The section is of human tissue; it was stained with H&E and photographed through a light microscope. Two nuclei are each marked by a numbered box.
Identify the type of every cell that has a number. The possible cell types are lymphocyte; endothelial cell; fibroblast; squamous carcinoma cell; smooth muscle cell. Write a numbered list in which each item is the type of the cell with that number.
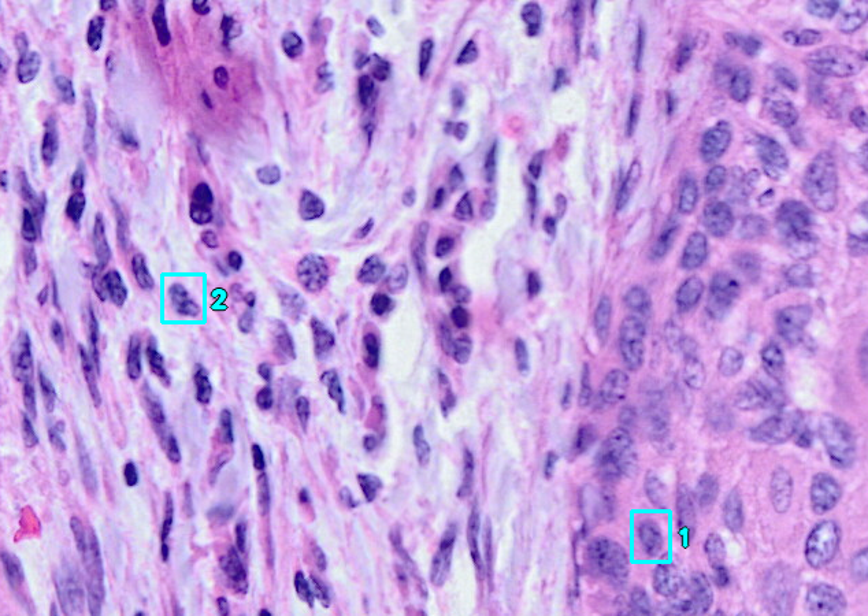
1. squamous carcinoma cell
2. lymphocyte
